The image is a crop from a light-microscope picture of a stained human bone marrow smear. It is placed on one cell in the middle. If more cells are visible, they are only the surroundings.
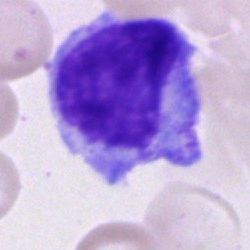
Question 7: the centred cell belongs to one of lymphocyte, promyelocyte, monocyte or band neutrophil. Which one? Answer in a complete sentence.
The cell of interest, located centrally, is a promyelocyte.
